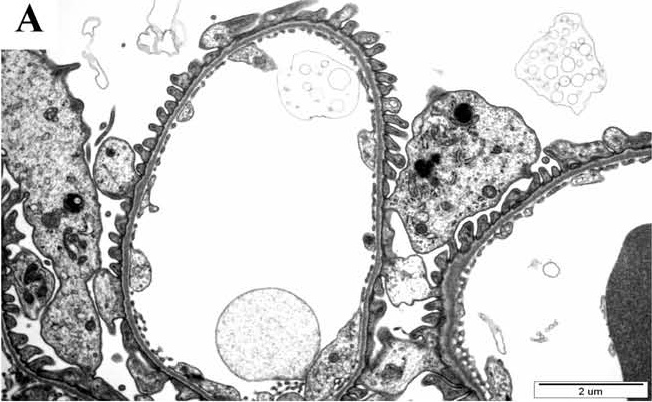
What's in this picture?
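Glomerular capillary loops with open, round lumens are outlined by a thin, even grey basement membrane. On its outer side sit many small, regularly spaced foot processes, like the teeth of a comb, with narrow gaps between them. Podocyte cell bodies with pale cytoplasm and scattered dense granules lie in the space outside the loops. A thin fenestrated endothelial layer lines the inner side of the membrane. This is the normal fine structure of the glomerular filtration barrier with intact podocyte foot processes.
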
